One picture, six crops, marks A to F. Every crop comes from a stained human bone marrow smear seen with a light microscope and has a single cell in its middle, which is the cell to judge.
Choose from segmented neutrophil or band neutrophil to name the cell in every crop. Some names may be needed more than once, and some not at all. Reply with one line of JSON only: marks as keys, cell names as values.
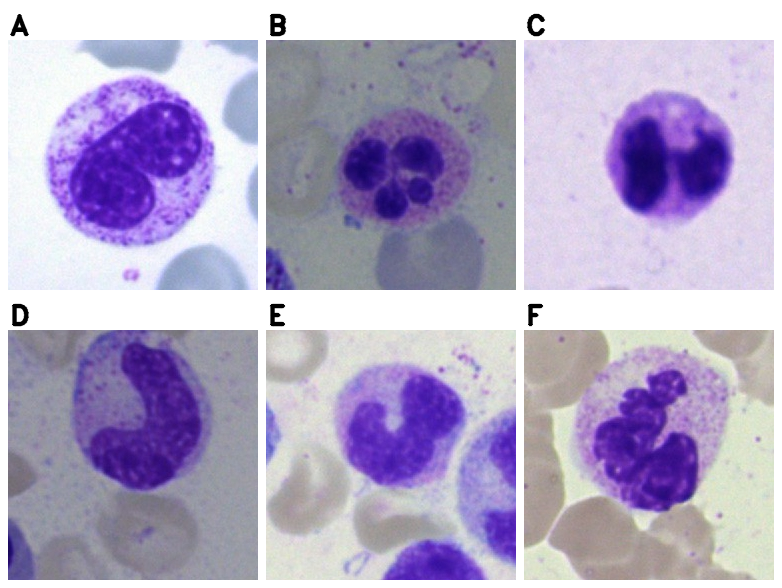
{"A": "band neutrophil", "B": "segmented neutrophil", "C": "segmented neutrophil", "D": "band neutrophil", "E": "band neutrophil", "F": "segmented neutrophil"}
